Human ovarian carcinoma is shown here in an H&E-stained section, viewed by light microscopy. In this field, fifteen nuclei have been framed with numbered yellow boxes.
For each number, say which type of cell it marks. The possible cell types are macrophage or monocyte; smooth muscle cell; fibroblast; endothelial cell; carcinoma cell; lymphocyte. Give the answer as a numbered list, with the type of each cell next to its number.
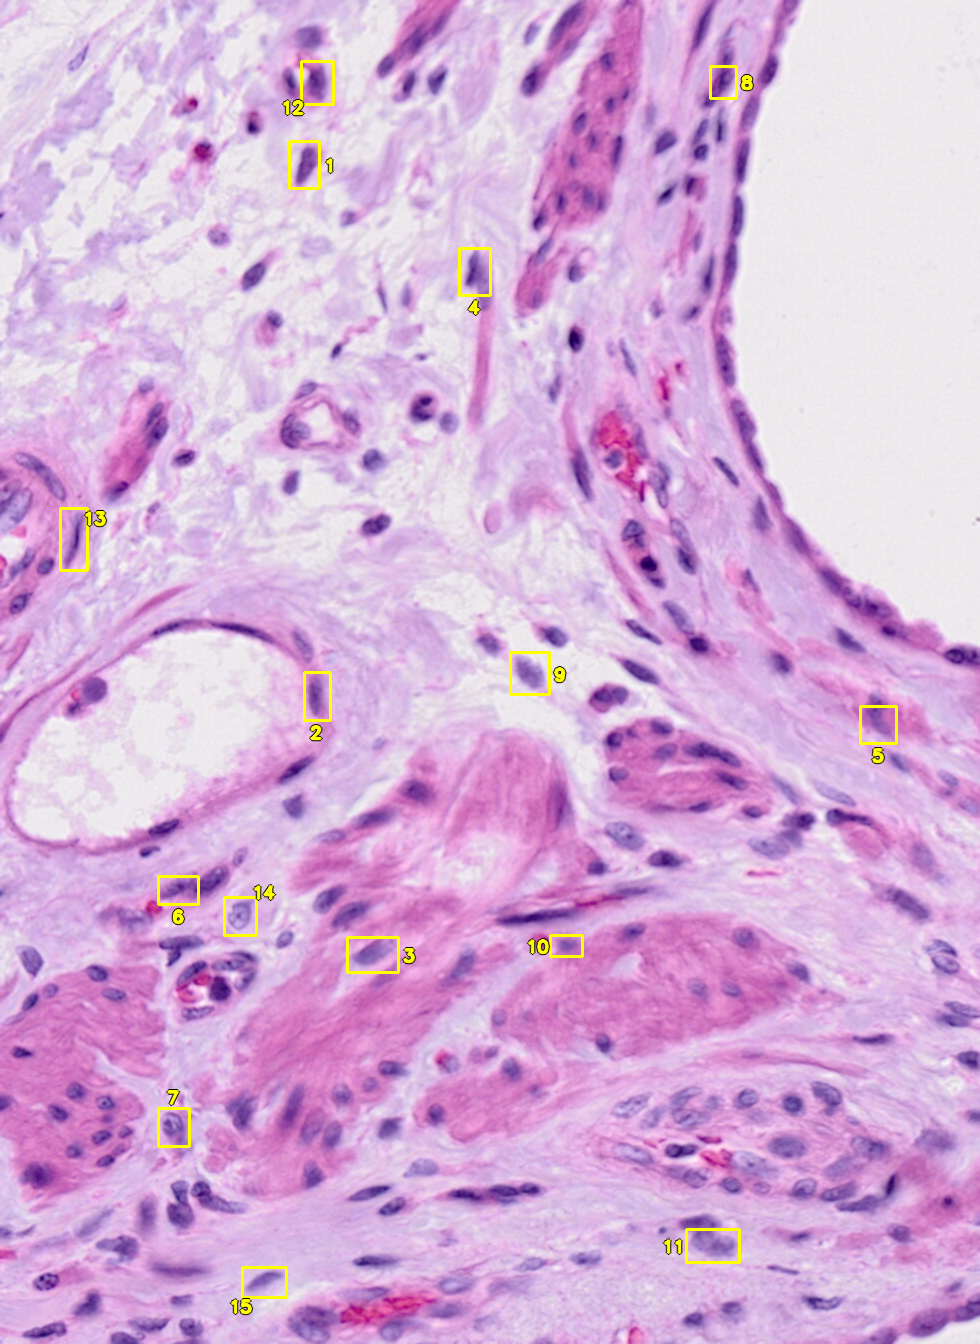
1. fibroblast
2. endothelial cell
3. smooth muscle cell
4. fibroblast
5. smooth muscle cell
6. endothelial cell
7. endothelial cell
8. endothelial cell
9. fibroblast
10. endothelial cell
11. fibroblast
12. endothelial cell
13. fibroblast
14. fibroblast
15. fibroblast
